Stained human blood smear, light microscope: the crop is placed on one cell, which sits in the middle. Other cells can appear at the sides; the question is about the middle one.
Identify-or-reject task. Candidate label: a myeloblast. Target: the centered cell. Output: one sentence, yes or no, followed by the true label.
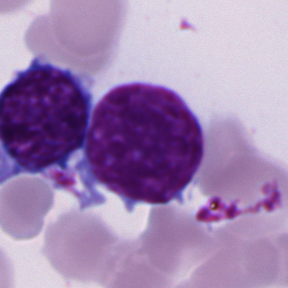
Yes, in this crop the cell in the middle is a myeloblast.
